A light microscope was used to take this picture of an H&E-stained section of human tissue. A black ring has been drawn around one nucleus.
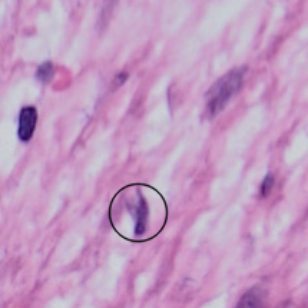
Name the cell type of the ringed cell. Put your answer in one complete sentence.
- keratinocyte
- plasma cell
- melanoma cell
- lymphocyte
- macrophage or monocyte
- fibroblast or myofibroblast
Cytologically, the ringed cell is to be regarded as a fibroblast or myofibroblast.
